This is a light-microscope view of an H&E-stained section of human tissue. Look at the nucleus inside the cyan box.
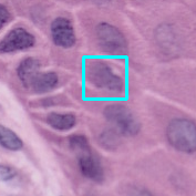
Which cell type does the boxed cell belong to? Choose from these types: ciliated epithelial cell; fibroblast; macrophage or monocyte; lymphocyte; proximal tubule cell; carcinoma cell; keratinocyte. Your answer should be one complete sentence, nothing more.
The classification of the boxed cell is as a keratinocyte.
